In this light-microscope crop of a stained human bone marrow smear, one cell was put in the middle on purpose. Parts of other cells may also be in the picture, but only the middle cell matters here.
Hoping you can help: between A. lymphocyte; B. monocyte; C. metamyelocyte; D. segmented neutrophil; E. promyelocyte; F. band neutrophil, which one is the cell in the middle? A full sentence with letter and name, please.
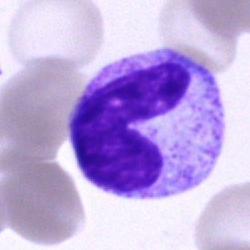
The expected answer is option F, the central cell being a band neutrophil.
